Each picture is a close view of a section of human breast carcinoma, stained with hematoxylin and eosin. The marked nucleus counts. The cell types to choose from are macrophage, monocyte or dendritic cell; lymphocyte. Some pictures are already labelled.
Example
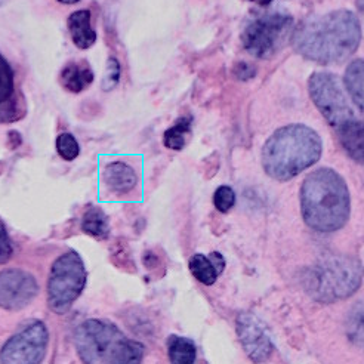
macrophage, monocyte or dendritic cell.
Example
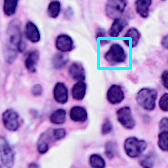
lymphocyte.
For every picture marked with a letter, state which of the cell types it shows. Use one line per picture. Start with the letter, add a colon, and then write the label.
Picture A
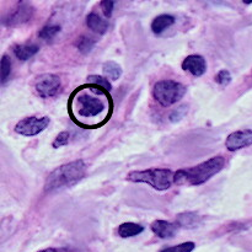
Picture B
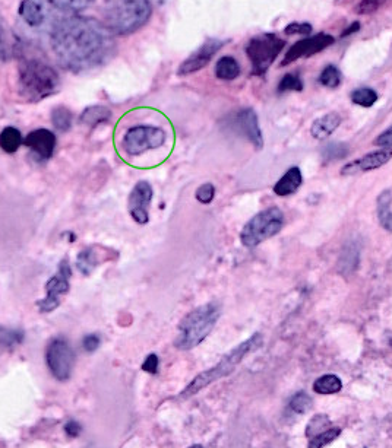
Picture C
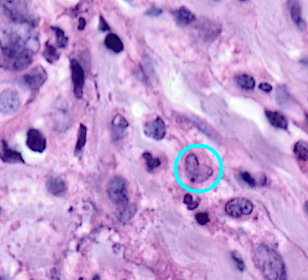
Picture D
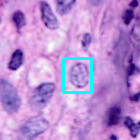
A: lymphocyte.
B: macrophage, monocyte or dendritic cell.
C: macrophage, monocyte or dendritic cell.
D: macrophage, monocyte or dendritic cell.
